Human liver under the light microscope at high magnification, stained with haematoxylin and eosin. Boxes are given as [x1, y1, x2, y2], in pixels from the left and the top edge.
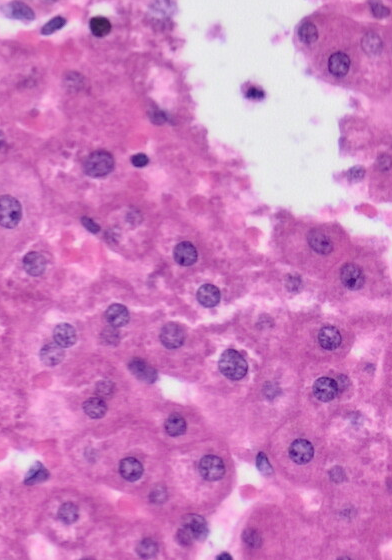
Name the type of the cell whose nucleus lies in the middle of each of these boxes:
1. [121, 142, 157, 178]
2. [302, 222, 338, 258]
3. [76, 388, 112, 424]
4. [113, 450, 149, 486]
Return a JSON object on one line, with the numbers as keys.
{"1": "lymphocyte", "2": "hepatocyte", "3": "hepatocyte", "4": "hepatocyte"}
